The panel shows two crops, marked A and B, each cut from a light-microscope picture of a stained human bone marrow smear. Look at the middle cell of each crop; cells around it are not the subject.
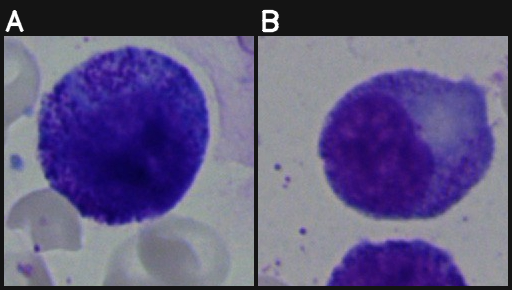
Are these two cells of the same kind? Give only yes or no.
yes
